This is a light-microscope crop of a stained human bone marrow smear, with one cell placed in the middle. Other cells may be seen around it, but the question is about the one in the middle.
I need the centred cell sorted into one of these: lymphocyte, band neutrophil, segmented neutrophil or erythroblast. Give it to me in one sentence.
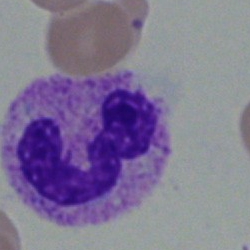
What the crop centres on is a band neutrophil.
